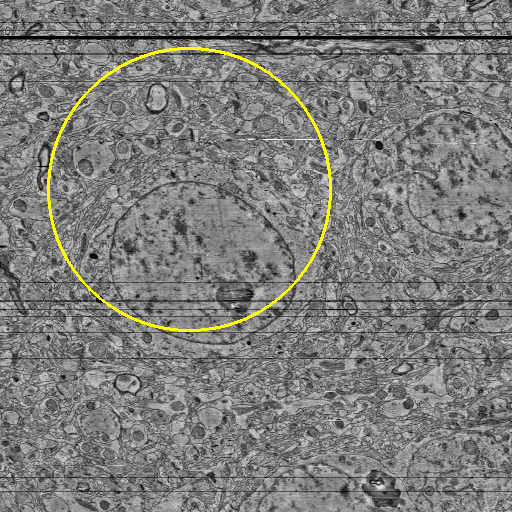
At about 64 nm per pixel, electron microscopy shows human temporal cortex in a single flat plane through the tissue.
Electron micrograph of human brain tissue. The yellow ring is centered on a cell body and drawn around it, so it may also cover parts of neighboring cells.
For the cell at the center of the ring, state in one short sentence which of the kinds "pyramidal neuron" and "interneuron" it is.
This ring is centered on a pyramidal neuron.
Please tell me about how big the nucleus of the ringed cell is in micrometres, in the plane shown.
In this plane, the nucleus of the cell at the centre of the ring measures about 12 by 10 micrometres.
